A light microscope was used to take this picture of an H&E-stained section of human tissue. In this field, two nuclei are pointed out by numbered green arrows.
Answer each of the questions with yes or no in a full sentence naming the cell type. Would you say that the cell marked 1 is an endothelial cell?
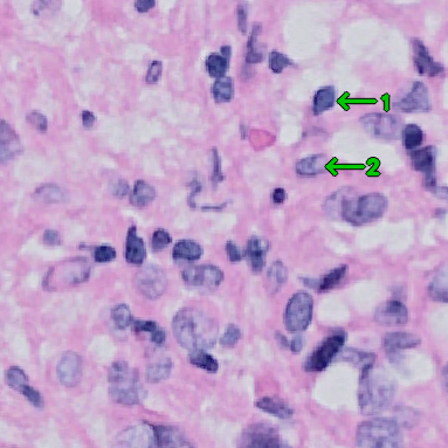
No, cell 1 should be classed as a lymphocyte, not as an endothelial cell.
